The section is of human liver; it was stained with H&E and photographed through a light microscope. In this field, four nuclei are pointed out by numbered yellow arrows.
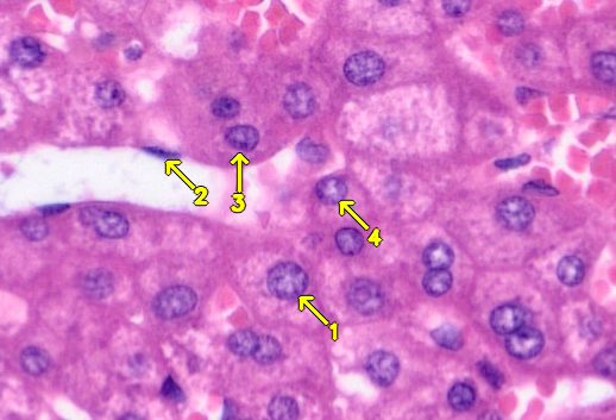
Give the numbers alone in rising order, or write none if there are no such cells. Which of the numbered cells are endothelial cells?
2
